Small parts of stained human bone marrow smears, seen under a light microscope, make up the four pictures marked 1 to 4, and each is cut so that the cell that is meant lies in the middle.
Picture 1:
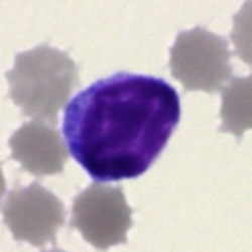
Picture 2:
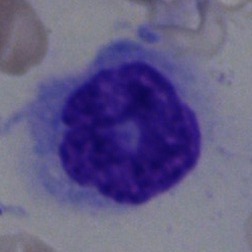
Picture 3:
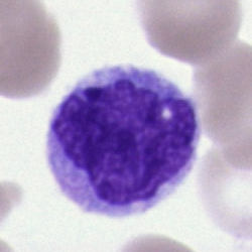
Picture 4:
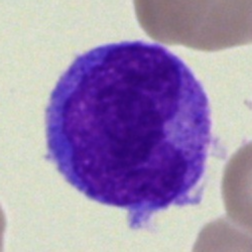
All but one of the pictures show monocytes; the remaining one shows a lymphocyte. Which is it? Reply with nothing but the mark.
1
